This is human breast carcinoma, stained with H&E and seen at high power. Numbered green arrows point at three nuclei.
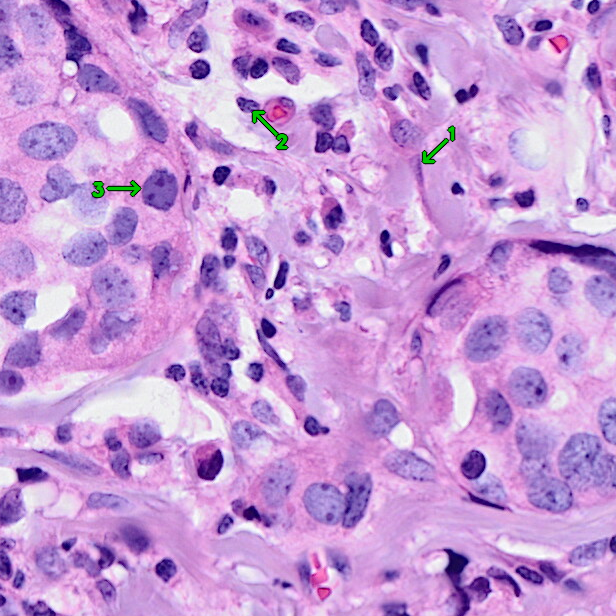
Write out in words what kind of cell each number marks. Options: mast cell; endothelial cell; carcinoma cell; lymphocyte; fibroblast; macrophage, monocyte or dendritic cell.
Cell 1 is a fibroblast. Cell 2 is a lymphocyte. Cell 3 is a carcinoma cell.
